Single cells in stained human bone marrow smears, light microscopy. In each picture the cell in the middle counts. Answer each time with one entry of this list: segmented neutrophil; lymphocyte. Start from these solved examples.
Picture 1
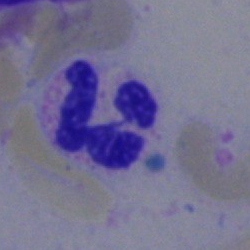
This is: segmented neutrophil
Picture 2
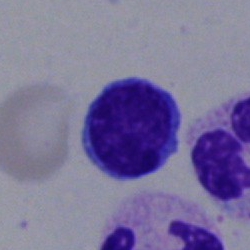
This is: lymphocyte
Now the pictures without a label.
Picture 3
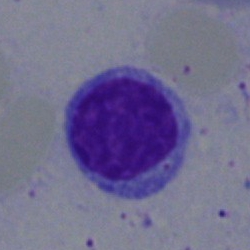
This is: lymphocyte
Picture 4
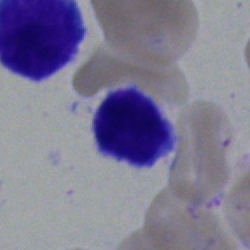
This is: lymphocyte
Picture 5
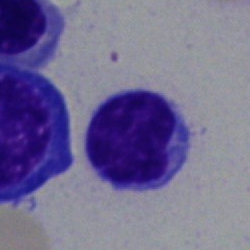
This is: lymphocyte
